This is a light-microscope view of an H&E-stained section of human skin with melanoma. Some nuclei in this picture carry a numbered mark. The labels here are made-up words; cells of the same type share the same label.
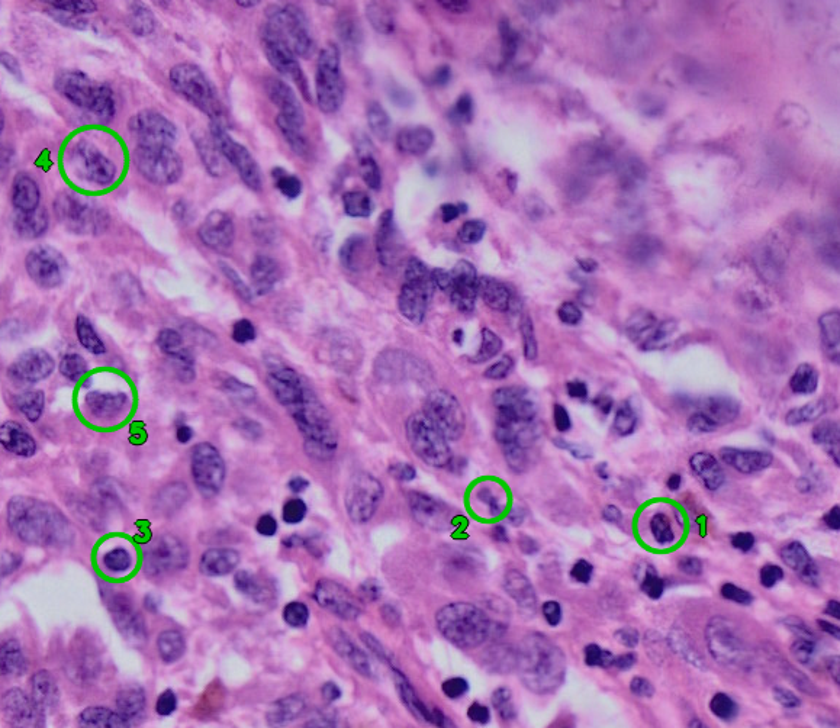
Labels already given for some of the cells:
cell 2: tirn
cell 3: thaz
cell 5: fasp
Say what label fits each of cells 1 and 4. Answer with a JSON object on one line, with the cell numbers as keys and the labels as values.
{"1": "thaz", "4": "fasp"}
